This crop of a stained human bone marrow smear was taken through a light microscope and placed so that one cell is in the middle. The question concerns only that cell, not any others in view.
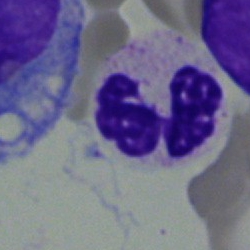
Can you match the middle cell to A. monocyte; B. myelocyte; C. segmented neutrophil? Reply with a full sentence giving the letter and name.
The best answer is option C, since the cell in the middle is a segmented neutrophil.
